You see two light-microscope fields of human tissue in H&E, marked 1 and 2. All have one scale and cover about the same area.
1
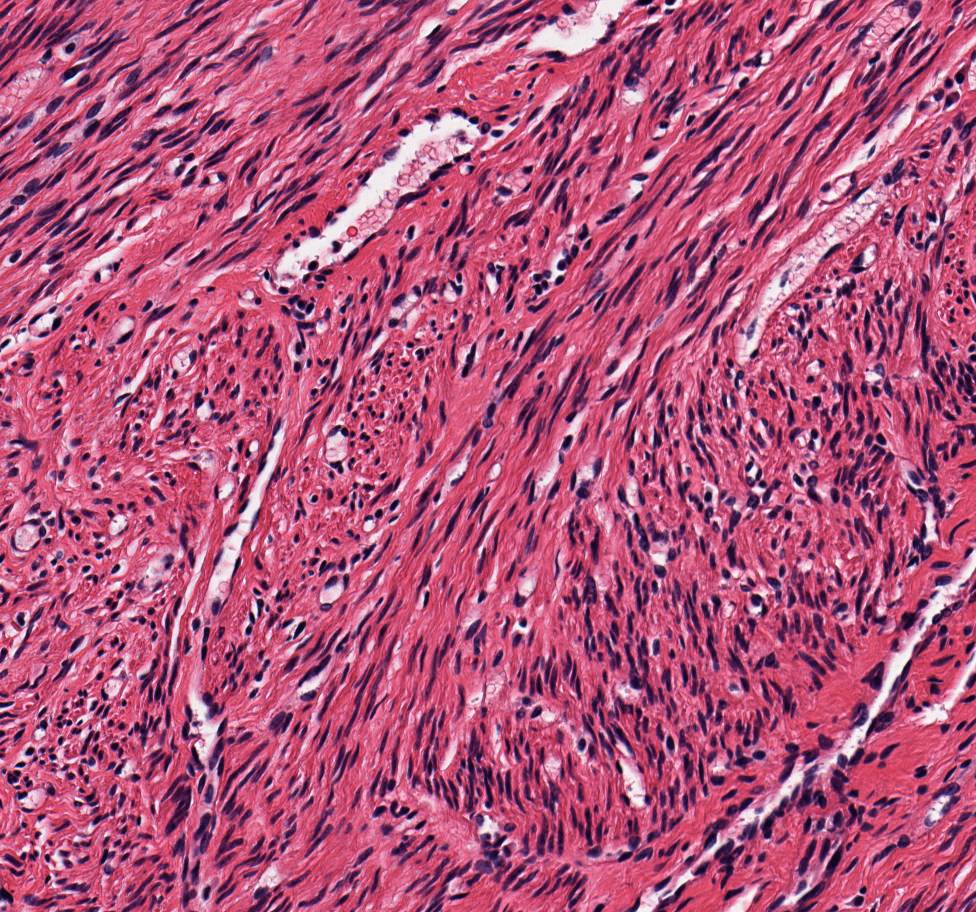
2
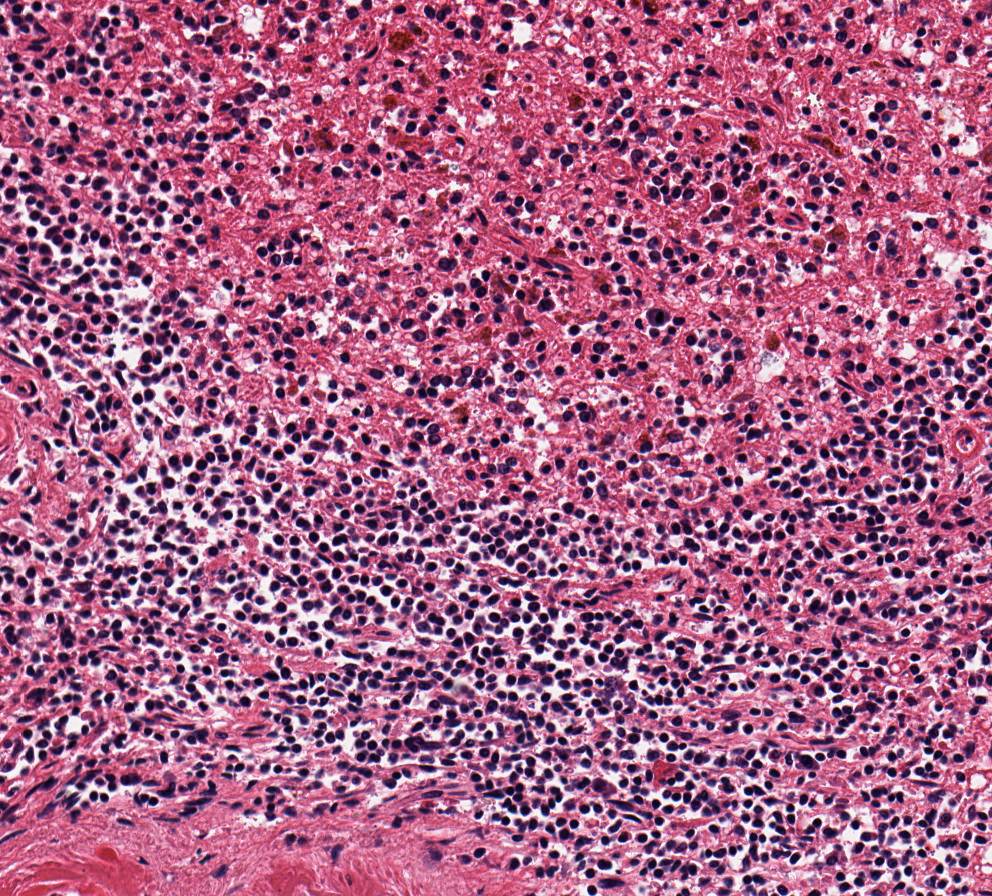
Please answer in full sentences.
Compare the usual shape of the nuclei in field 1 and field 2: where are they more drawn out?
On the whole the nuclei of field 1 are more drawn out than those of field 2.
